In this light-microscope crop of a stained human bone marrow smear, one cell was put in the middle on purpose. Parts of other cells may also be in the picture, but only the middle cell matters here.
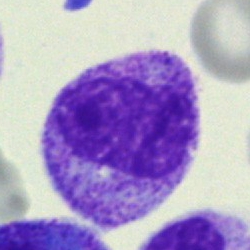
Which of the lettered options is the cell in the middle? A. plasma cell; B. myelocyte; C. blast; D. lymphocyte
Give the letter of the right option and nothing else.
B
